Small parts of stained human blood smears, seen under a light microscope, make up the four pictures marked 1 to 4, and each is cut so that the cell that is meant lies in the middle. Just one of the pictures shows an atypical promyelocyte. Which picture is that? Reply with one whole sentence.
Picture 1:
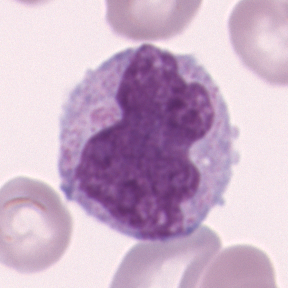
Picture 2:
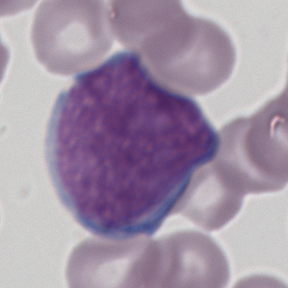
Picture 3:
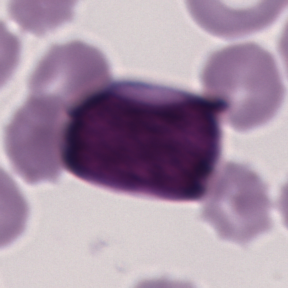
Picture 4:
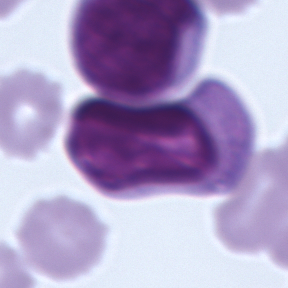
Picture 1 is the one that shows the atypical promyelocyte.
